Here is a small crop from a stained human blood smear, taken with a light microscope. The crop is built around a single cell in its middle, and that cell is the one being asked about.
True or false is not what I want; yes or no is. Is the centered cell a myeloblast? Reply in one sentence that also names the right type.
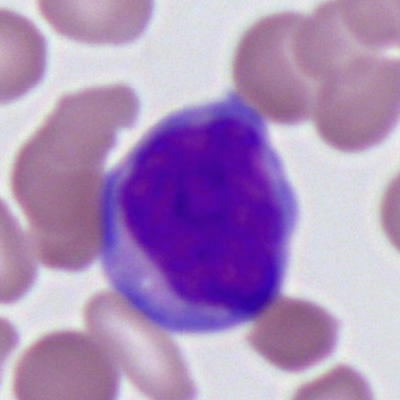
Yes, the cell occupying the middle of the crop is a myeloblast.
